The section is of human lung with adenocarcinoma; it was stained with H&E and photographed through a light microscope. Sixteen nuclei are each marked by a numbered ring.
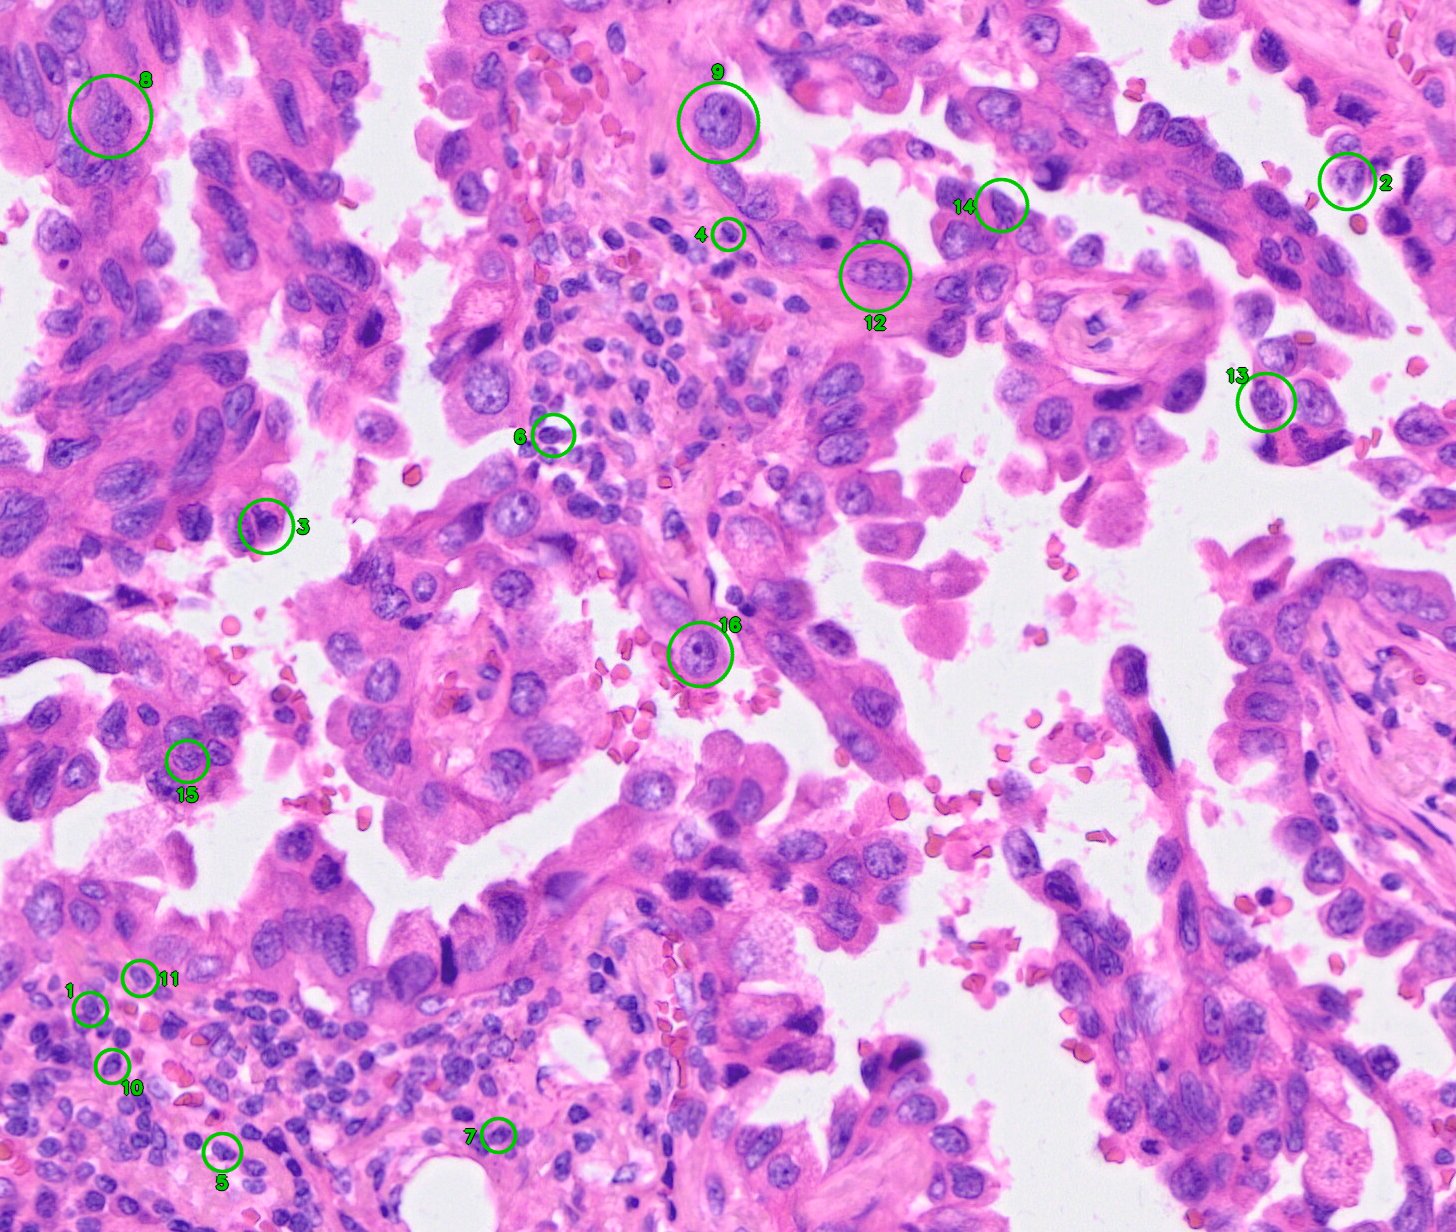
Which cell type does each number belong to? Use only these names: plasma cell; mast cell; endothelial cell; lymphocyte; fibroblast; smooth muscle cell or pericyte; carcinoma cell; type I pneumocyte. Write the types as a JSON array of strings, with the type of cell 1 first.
["lymphocyte", "carcinoma cell", "carcinoma cell", "lymphocyte", "lymphocyte", "lymphocyte", "lymphocyte", "carcinoma cell", "carcinoma cell", "lymphocyte", "lymphocyte", "carcinoma cell", "carcinoma cell", "carcinoma cell", "carcinoma cell", "carcinoma cell"]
